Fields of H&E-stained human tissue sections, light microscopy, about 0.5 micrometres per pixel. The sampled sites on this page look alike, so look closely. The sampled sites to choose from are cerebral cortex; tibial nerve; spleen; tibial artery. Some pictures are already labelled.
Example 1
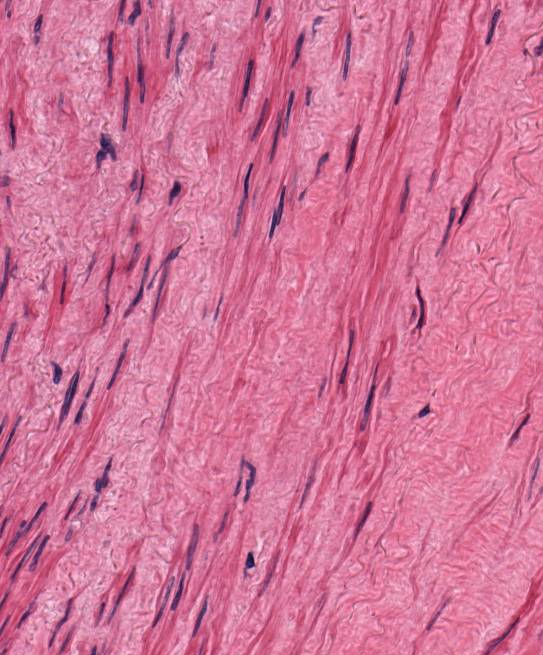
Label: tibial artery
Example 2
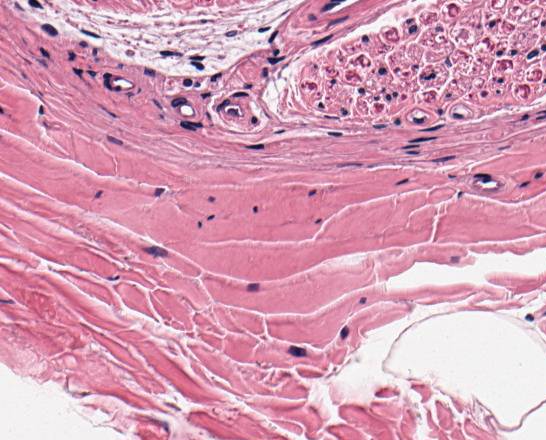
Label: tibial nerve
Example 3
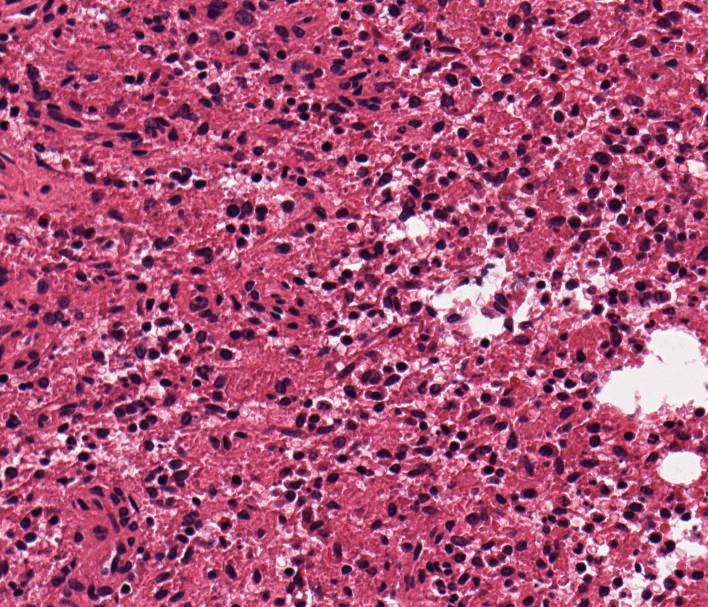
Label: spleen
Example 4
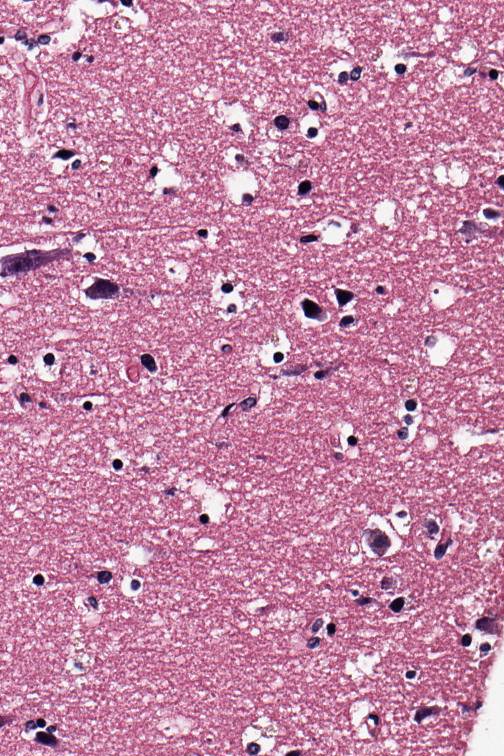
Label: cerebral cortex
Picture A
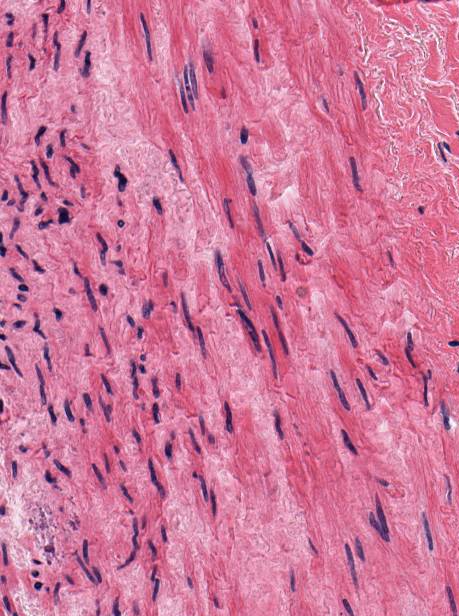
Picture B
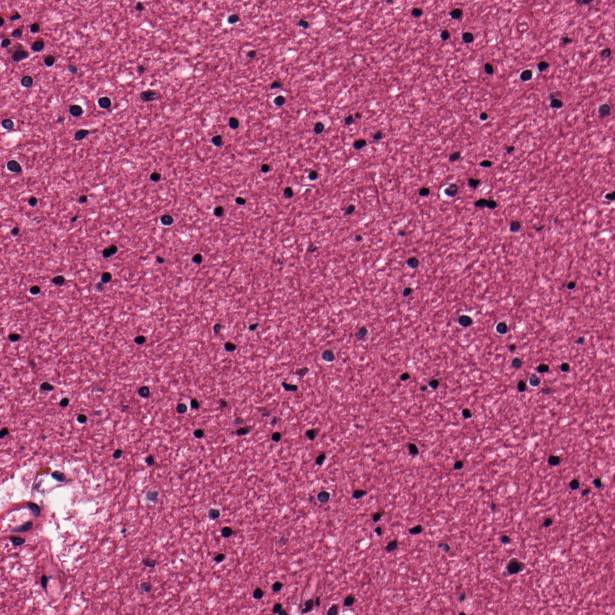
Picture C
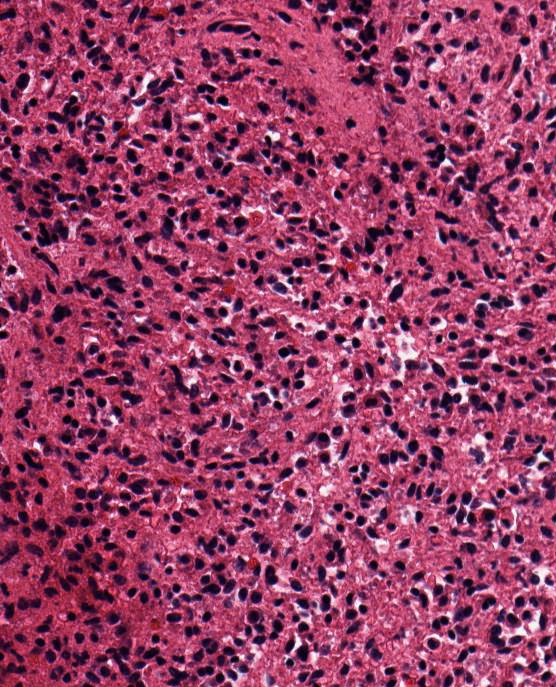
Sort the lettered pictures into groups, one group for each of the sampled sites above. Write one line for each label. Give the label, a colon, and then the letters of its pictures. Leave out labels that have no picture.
cerebral cortex: B
spleen: C
tibial artery: A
